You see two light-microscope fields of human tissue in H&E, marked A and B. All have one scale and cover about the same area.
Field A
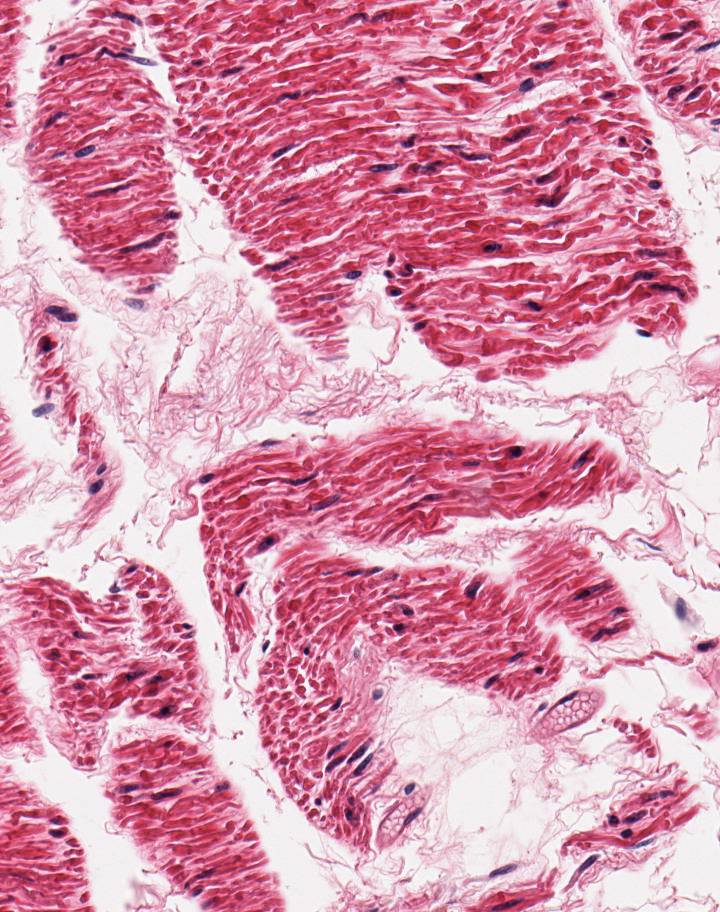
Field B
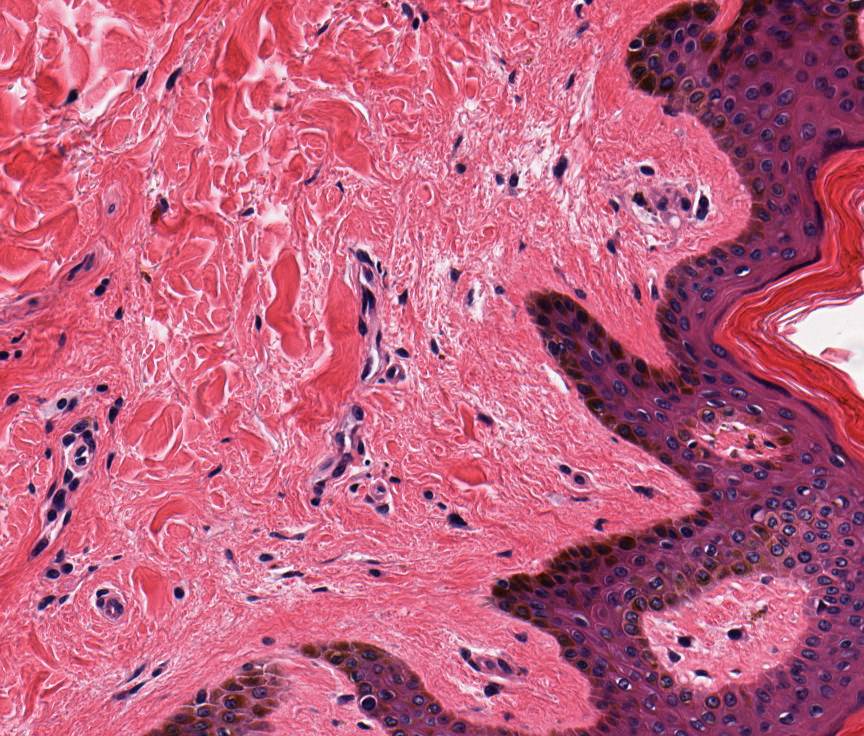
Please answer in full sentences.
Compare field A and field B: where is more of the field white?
Unstained space takes up more of field A than of field B.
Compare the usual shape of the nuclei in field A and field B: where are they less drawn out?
It is field B whose nuclei are the rounder.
